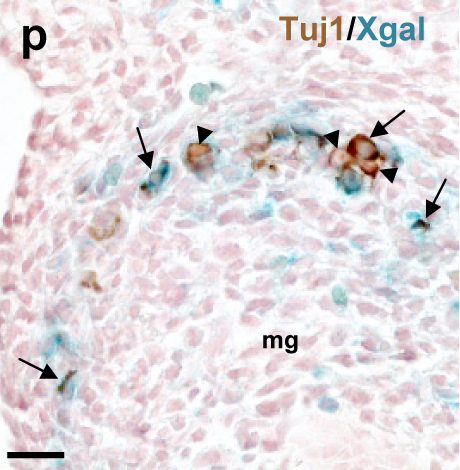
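This is the wall of the developing midgut, a dense field of pink-stained mesenchymal cells with oval nuclei. Near its outer edge lies a discontinuous row of small clusters of brown-stained enteric neurons, some of which carry blue deposits and some of which do not. Scattered single blue-stained cells lie nearby in the gut wall.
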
